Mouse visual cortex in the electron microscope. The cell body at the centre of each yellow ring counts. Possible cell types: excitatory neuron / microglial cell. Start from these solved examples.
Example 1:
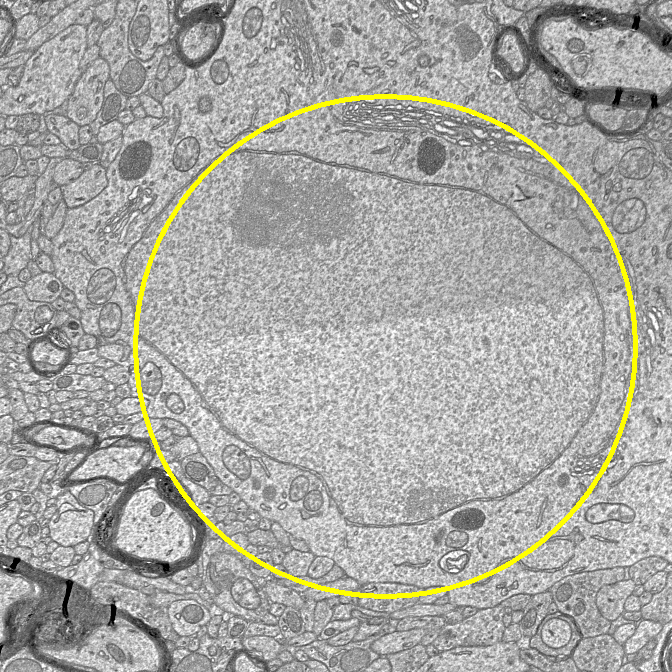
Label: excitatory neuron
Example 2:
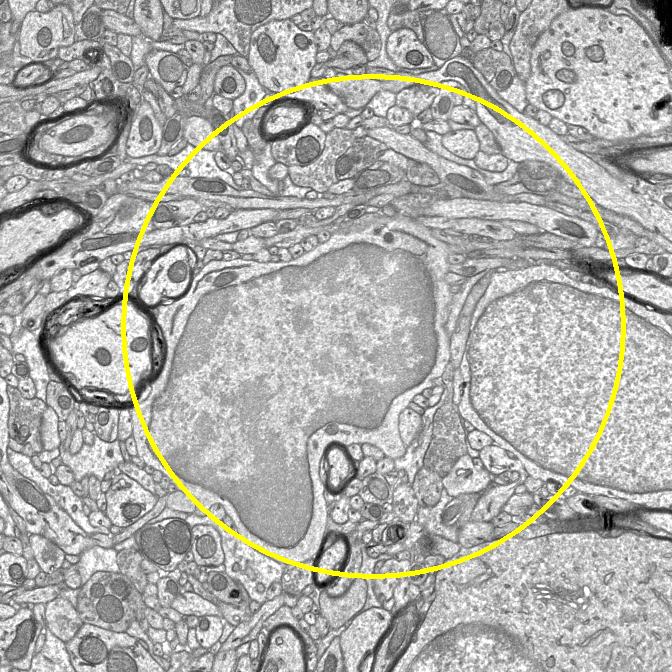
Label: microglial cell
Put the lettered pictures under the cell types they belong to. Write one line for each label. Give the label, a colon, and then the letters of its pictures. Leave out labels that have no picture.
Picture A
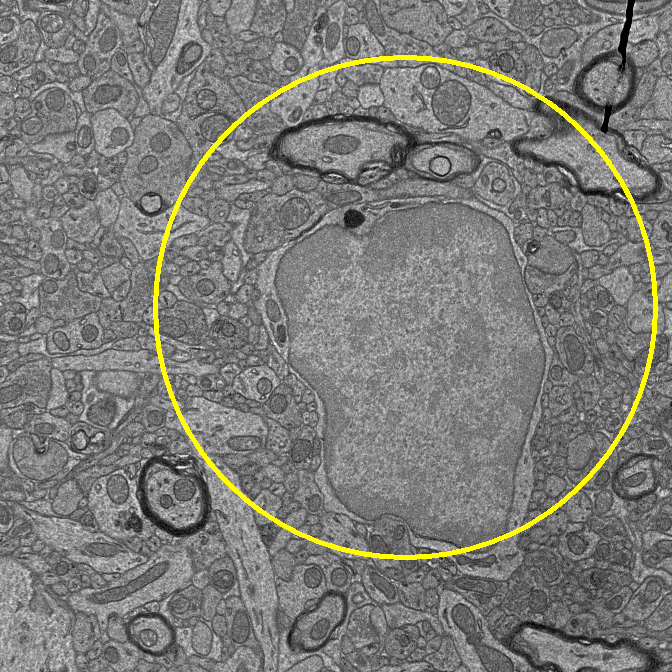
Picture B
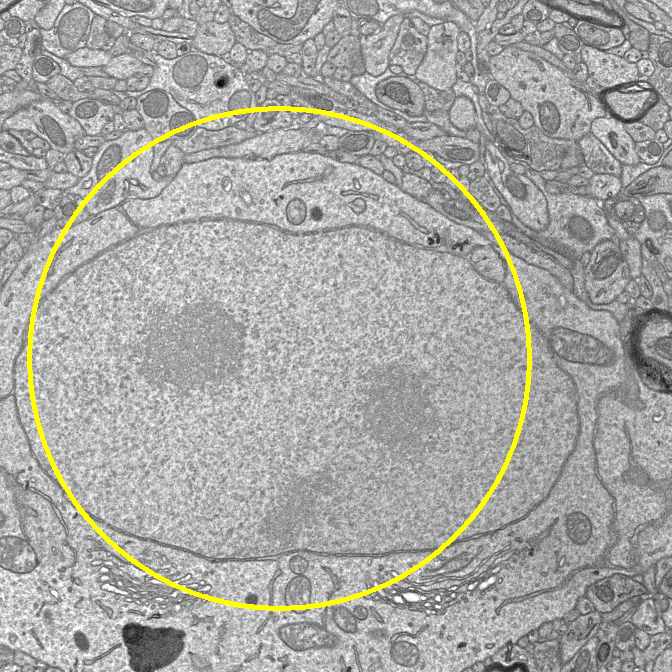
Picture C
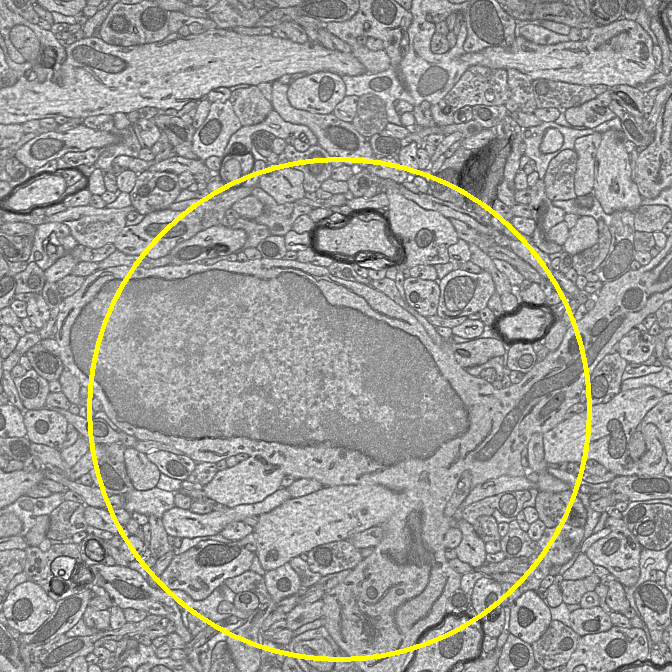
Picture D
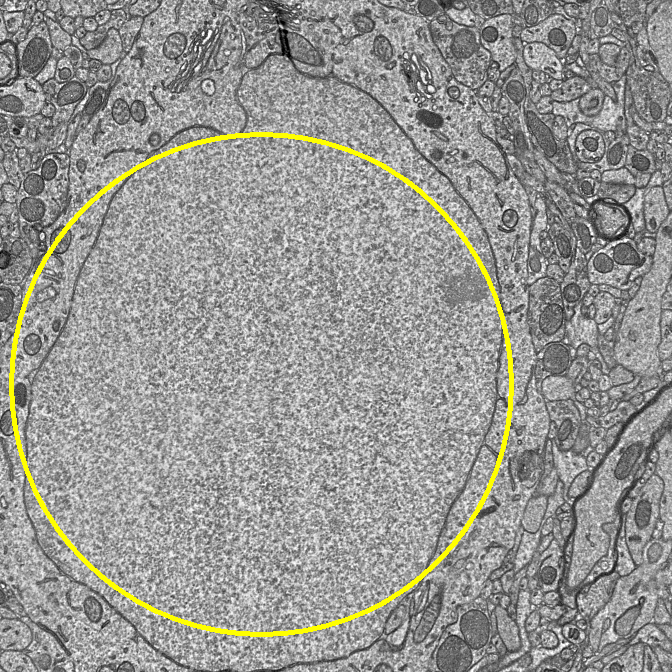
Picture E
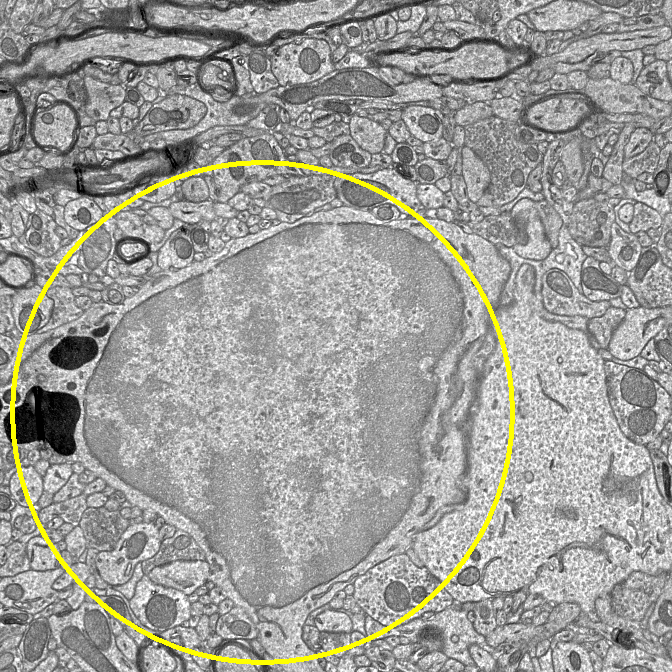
excitatory neuron: B, D
microglial cell: A, C, E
